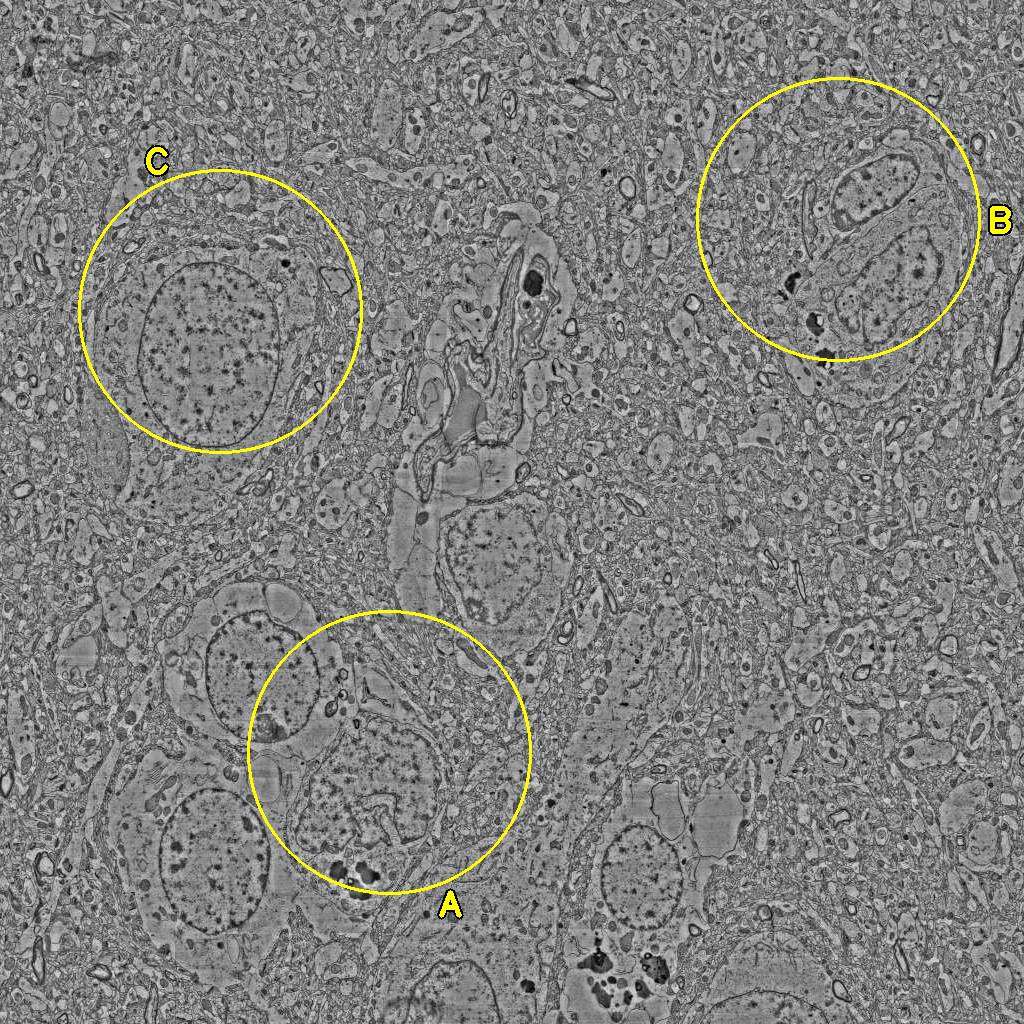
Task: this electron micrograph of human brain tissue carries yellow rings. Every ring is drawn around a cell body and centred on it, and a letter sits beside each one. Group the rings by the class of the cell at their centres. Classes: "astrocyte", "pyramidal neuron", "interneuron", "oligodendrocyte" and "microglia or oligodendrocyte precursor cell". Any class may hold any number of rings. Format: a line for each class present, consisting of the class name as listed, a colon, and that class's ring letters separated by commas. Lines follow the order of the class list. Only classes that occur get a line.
pyramidal neuron: C
interneuron: A
microglia or oligodendrocyte precursor cell: B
